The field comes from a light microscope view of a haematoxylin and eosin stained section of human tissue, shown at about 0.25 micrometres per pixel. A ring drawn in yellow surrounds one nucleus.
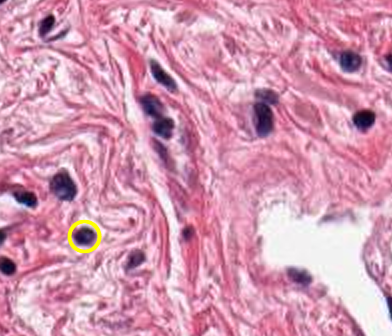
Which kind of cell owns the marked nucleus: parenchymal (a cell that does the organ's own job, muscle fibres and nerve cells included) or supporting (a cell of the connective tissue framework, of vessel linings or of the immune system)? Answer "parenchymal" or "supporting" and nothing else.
supporting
